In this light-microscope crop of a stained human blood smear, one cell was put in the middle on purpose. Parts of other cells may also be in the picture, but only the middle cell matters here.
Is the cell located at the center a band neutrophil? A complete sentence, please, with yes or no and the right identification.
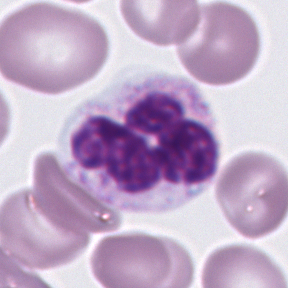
No, the central cell is not a band neutrophil; it is a segmented neutrophil.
